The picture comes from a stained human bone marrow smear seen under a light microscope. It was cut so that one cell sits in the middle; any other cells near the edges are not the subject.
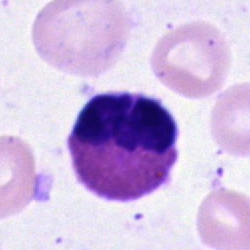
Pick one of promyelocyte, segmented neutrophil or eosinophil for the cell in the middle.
eosinophil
